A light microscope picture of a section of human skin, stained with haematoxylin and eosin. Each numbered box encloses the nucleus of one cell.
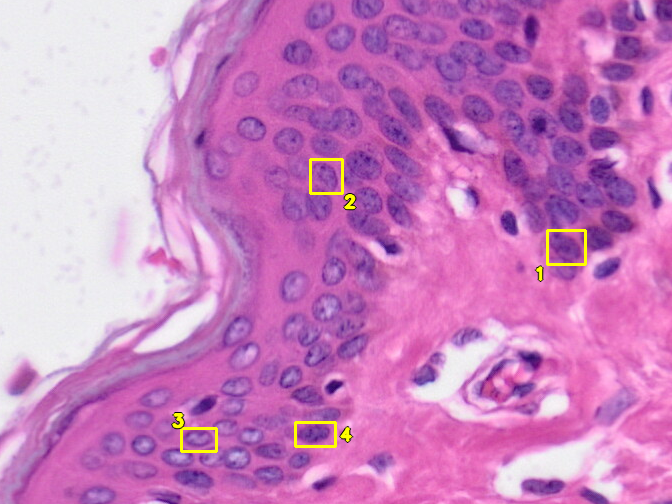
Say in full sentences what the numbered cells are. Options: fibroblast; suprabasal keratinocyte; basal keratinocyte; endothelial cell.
Cells 1 and 4 are basal keratinocytes. Cells 2 and 3 are suprabasal keratinocytes.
